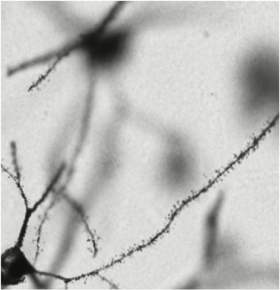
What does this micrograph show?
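The dendrites are lined with many small dark protrusions, the dendritic spines, which are especially clear along the long diagonal branch. Several blurred, dark, rounded shapes in the background are other cell bodies lying out of focus. The background is pale grey. The sparse staining lets one branch be told apart from the next and followed along its length.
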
